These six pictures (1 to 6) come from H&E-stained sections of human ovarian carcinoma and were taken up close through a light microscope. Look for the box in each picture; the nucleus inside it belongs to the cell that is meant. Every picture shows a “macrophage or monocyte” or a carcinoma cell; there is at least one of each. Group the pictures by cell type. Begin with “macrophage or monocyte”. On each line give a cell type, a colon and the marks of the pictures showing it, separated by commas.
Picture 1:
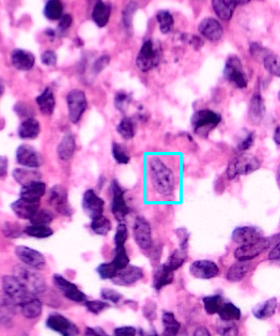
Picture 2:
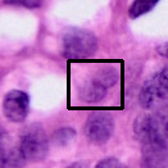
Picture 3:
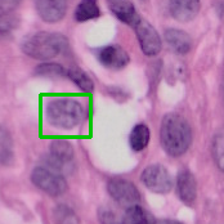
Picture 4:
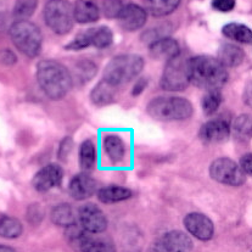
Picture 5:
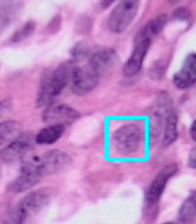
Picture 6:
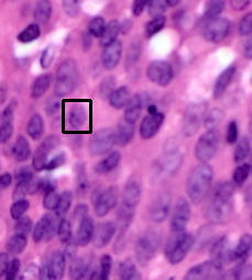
macrophage or monocyte: 1, 3, 4
carcinoma cell: 2, 5, 6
